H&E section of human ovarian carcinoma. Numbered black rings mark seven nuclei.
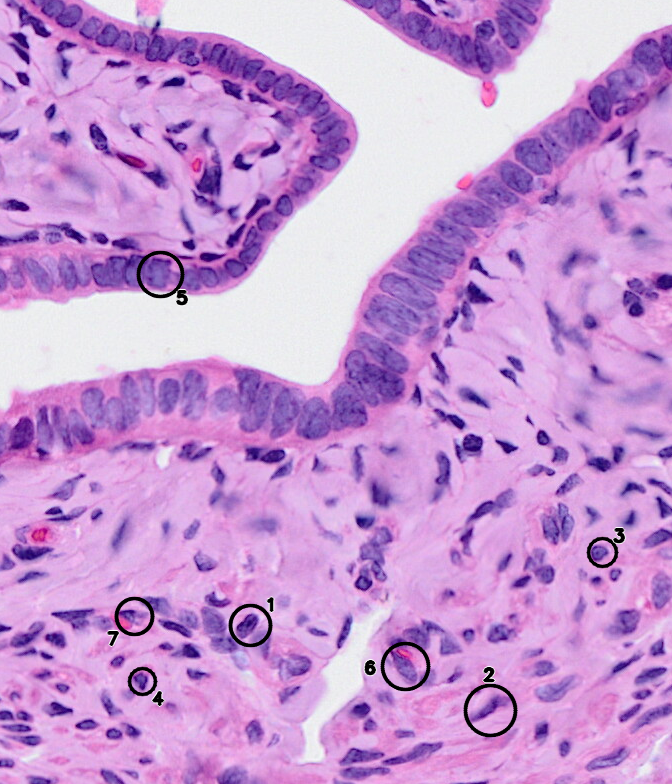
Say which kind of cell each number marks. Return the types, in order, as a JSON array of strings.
["lymphocyte", "smooth muscle cell", "smooth muscle cell", "smooth muscle cell", "carcinoma cell", "endothelial cell", "endothelial cell"]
